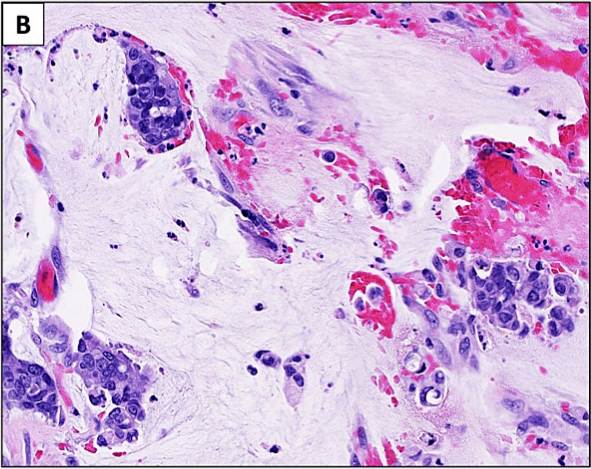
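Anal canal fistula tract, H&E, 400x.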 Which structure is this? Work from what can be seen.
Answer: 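Clusters of epithelial cells lie detached within a pale, faintly bluish, wispy acellular material. Red blood cells are scattered through the pale material.
Answer: extravasated mucin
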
